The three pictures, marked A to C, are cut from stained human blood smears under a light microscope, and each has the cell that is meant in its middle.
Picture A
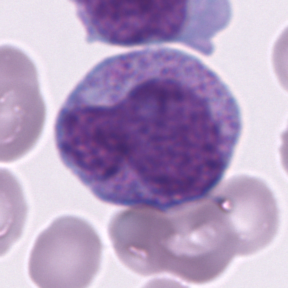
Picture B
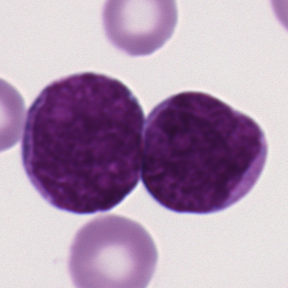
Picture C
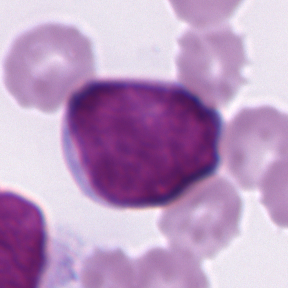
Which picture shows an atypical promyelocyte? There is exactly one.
A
